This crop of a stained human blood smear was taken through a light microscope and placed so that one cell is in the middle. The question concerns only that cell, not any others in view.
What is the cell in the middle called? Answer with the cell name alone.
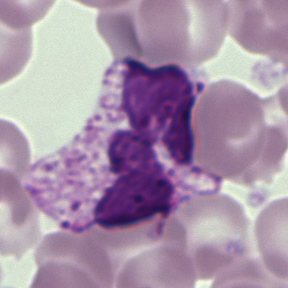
basophil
